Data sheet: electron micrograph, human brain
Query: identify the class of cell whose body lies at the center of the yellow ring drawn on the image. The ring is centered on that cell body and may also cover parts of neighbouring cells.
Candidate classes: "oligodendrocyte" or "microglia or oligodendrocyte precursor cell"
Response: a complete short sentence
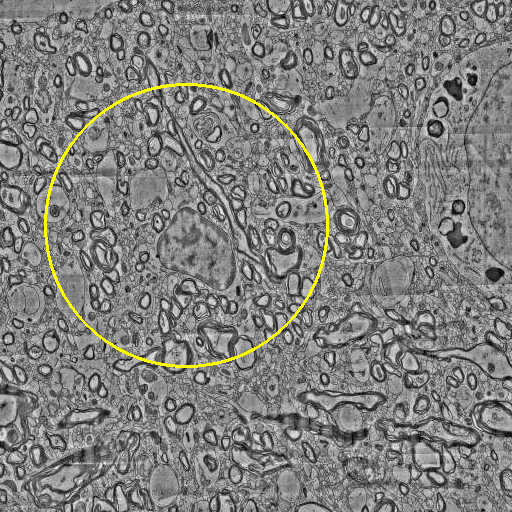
At the center of the ring lies a microglial cell or oligodendrocyte precursor cell.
